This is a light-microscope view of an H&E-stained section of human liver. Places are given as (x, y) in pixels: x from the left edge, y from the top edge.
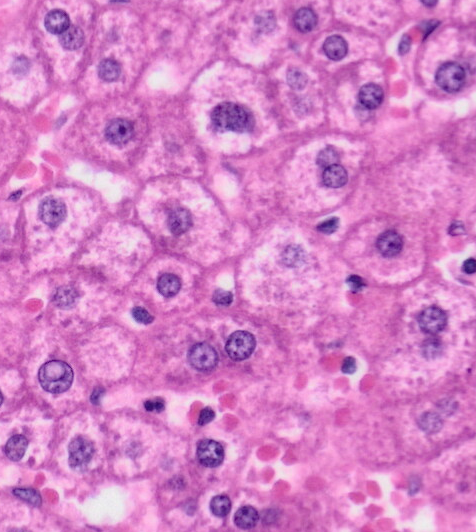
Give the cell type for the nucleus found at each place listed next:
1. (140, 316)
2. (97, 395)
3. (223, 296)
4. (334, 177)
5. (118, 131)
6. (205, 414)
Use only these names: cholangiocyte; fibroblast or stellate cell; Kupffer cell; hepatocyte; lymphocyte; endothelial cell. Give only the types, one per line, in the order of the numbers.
lymphocyte
endothelial cell
endothelial cell
hepatocyte
hepatocyte
lymphocyte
